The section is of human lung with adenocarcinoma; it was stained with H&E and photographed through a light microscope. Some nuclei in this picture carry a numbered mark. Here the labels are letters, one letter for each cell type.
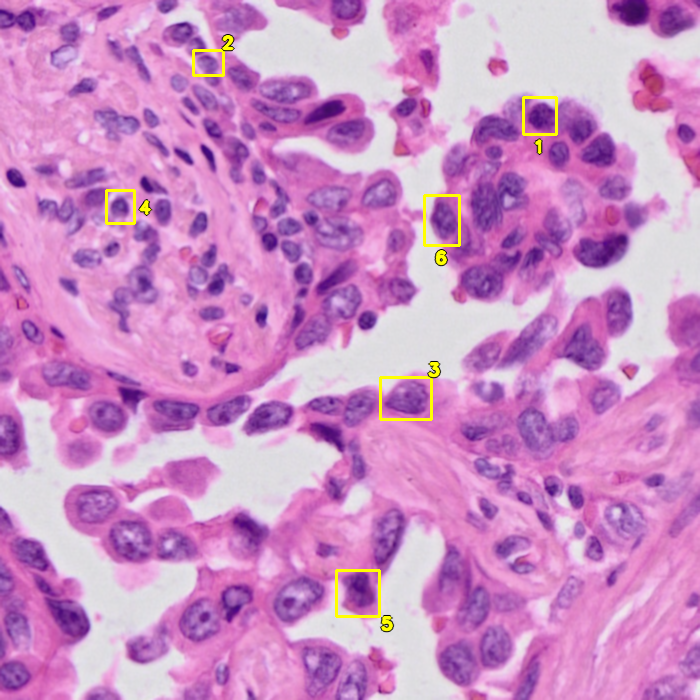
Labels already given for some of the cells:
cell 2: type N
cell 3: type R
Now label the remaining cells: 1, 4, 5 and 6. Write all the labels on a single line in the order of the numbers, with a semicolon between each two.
type R; type N; type R; type R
